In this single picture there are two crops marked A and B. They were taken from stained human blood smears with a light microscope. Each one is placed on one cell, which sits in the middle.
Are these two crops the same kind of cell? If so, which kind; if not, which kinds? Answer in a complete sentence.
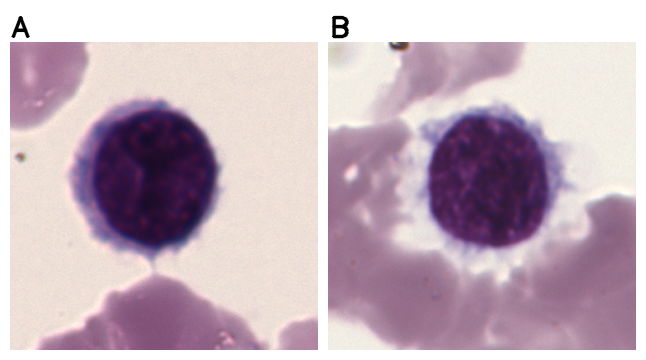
Yes, both crops in the pair show hairy cells.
